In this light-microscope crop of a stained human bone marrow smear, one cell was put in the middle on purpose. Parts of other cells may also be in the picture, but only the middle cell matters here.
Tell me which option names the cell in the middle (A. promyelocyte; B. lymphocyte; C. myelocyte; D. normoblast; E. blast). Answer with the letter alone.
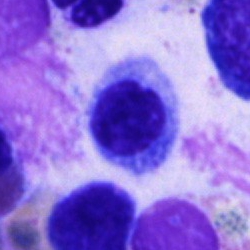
D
